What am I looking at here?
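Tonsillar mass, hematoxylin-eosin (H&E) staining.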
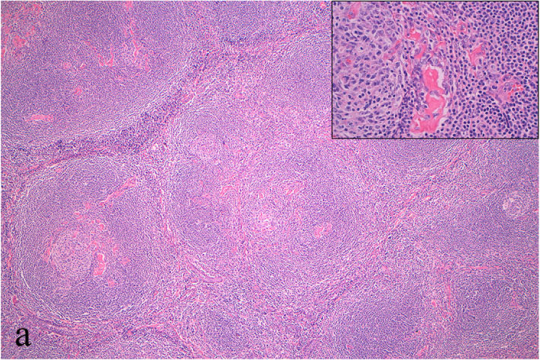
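This is lymphoid tissue crowded with rounded lymphoid follicles of differing size and shape. Small vessels with thick, pink, glassy walls lie within the pale centres and in the surrounding rims. The inset shows such a vessel at higher power, its wall a homogeneous pink band, with lymphocytes and paler cells around it. Thin fibrous strands separate some of the follicles.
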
